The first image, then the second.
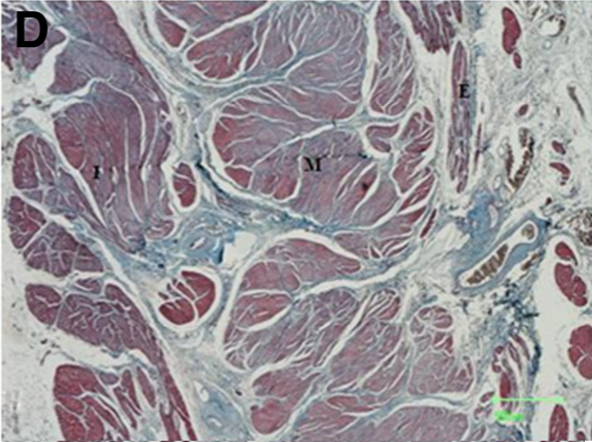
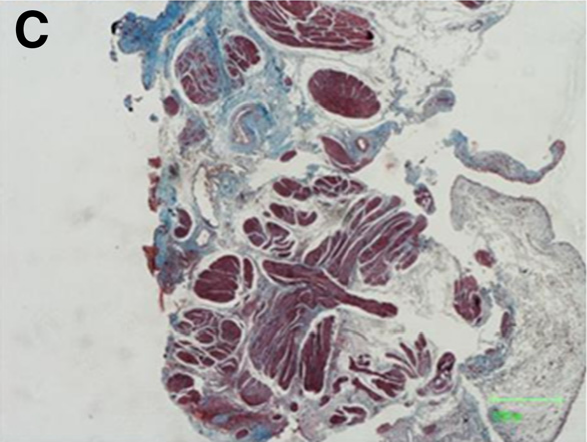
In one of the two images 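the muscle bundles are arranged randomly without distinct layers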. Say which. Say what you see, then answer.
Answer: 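First image: large muscle bundles form a continuous, orderly wall. Second image: scattered muscle bundles of varied size and orientation in loose tissue.
The second image.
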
